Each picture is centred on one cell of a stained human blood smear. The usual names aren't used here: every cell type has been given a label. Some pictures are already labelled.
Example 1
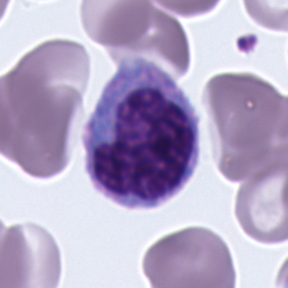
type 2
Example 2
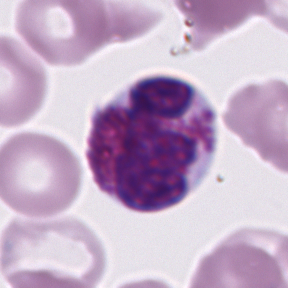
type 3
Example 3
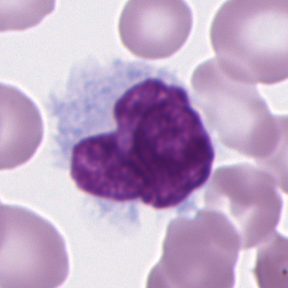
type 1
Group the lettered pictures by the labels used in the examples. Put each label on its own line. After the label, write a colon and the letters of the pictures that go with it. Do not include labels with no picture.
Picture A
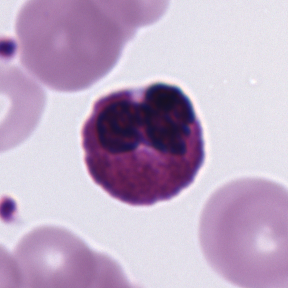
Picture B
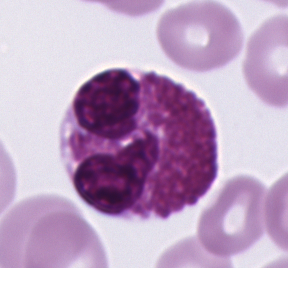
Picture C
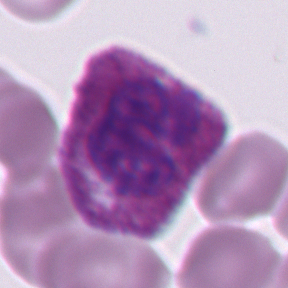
type 3: A, B, C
